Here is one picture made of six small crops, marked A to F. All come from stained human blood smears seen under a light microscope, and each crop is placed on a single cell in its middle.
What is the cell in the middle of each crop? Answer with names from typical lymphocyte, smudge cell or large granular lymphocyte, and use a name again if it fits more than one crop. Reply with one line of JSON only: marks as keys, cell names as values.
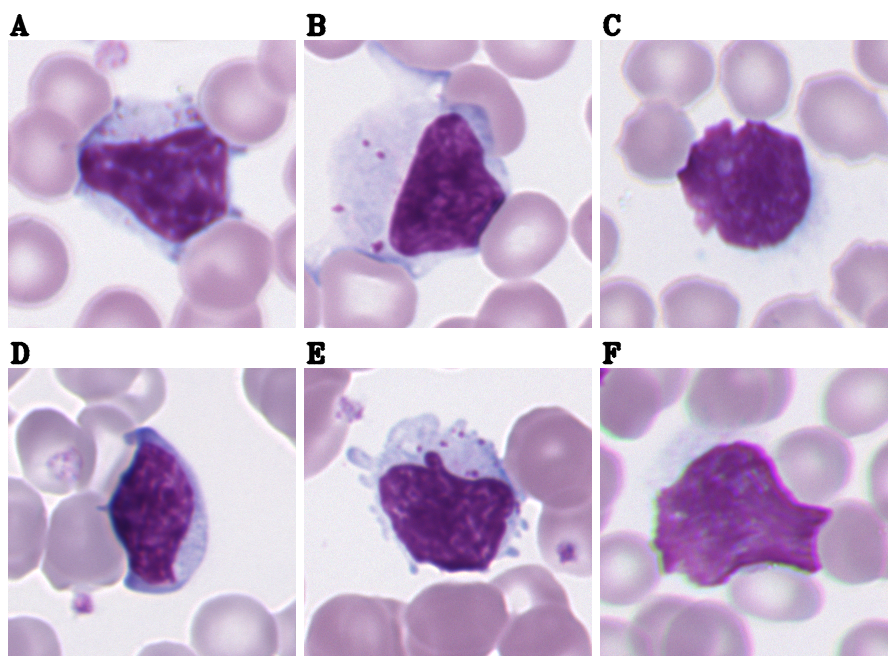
{"A": "large granular lymphocyte", "B": "large granular lymphocyte", "C": "smudge cell", "D": "typical lymphocyte", "E": "large granular lymphocyte", "F": "smudge cell"}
